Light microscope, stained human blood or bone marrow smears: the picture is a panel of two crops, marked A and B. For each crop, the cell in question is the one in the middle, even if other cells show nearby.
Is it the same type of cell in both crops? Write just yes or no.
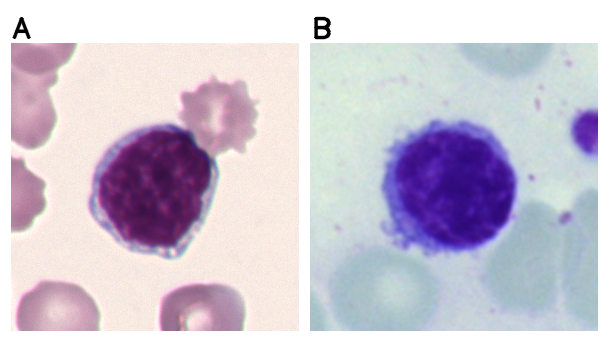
yes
